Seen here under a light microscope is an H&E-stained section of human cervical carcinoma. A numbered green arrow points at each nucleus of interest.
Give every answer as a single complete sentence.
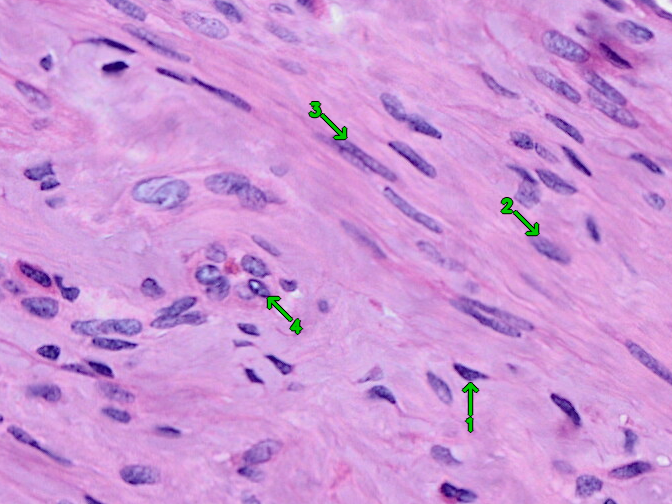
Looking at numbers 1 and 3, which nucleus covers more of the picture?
It is nucleus 3, which covers about 2 times the area of nucleus 1.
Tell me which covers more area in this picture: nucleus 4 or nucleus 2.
Nucleus 2 covers more area, about 2.5 times as much as nucleus 4.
